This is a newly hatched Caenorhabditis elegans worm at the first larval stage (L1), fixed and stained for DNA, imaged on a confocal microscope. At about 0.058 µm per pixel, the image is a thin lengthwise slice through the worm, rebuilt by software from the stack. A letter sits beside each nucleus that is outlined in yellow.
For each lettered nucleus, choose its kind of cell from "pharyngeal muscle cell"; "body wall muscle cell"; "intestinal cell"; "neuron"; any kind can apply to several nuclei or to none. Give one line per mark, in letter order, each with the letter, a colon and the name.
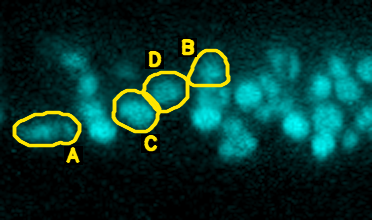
A: body wall muscle cell
B: neuron
C: neuron
D: pharyngeal muscle cell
